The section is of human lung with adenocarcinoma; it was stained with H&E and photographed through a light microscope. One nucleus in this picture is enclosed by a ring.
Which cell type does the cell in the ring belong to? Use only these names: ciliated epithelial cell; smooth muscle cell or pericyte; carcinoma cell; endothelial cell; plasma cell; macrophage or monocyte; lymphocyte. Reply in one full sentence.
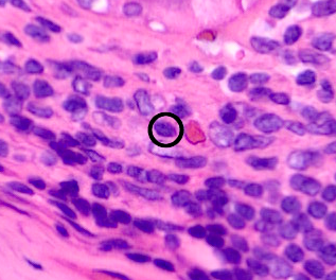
The cell in the ring appears to be a lymphocyte.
